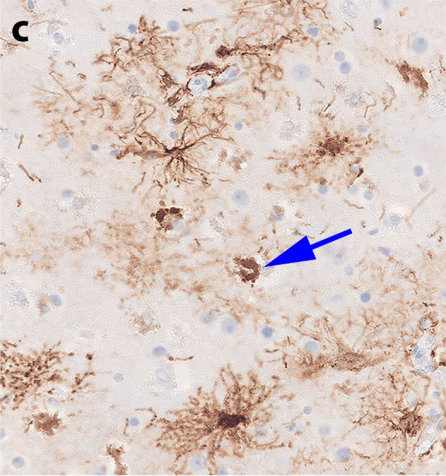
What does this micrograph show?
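Brain tissue with numerous astrocytes whose star-shaped bodies and many fine branching processes are stained brown. The intervening neuropil is pale, with scattered small round blue nuclei.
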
